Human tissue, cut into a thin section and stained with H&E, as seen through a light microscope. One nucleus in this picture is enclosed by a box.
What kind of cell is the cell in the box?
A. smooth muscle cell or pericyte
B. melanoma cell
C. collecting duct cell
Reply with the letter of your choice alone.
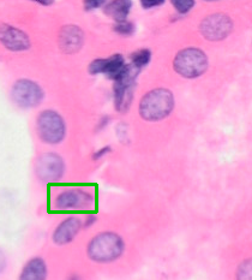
C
